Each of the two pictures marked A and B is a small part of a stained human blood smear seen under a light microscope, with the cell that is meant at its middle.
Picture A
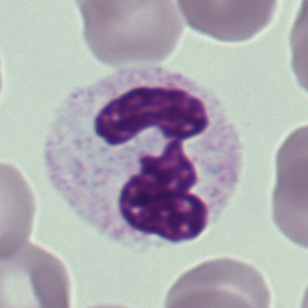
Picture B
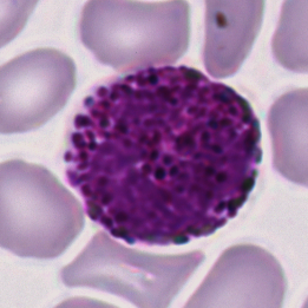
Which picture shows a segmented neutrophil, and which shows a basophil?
A: segmented neutrophil
B: basophil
